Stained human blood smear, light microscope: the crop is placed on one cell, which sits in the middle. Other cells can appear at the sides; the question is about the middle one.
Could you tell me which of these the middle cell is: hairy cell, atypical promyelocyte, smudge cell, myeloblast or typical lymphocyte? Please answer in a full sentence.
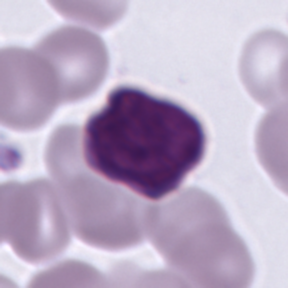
The cell nearest the centre of this crop is a smudge cell.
